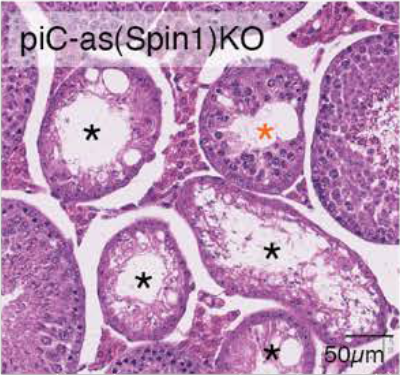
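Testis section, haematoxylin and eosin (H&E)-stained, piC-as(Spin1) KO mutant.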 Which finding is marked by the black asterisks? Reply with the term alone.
Sertoli cell-only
